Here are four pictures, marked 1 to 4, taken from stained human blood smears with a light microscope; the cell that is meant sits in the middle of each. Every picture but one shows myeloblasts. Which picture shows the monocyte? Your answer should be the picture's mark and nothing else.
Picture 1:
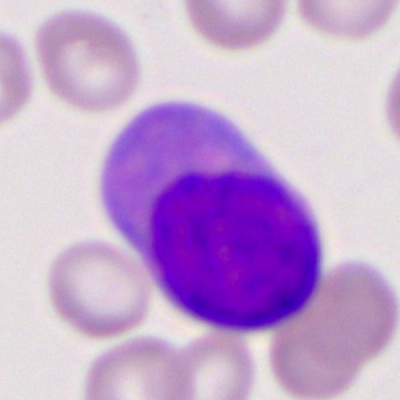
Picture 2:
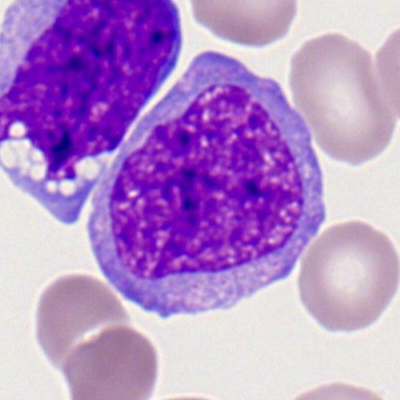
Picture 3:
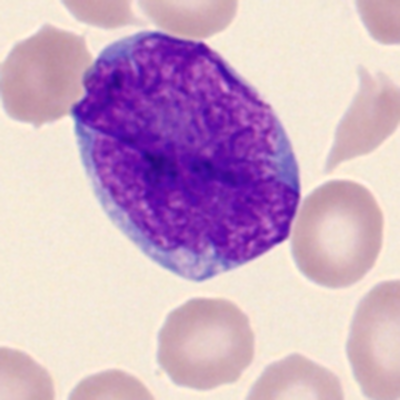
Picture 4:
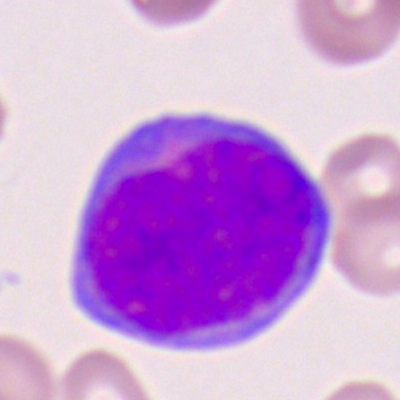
2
